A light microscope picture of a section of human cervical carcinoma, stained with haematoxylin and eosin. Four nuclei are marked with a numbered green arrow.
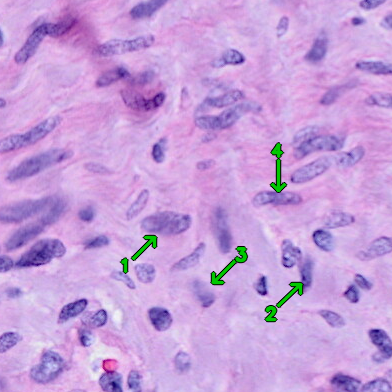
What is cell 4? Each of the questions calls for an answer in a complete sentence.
The marked cell bearing number 4 is a smooth muscle cell.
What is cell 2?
Regarding cell 2, this one is a fibroblast.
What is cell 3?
Cell 3, among those numbered, is a fibroblast.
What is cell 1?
The cell whose nucleus carries the number 1 is a fibroblast.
